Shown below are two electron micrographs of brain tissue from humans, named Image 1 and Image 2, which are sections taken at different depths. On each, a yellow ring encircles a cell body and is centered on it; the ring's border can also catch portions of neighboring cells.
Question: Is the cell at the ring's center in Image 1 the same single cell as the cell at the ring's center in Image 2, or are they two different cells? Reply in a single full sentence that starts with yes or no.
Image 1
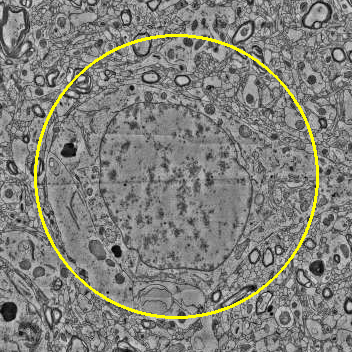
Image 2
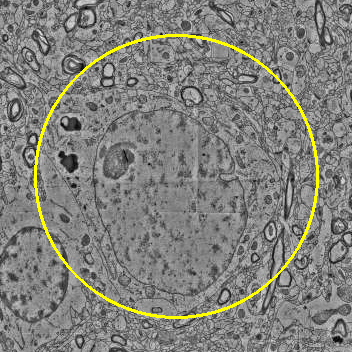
Yes, one single cell is under each of the two rings.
